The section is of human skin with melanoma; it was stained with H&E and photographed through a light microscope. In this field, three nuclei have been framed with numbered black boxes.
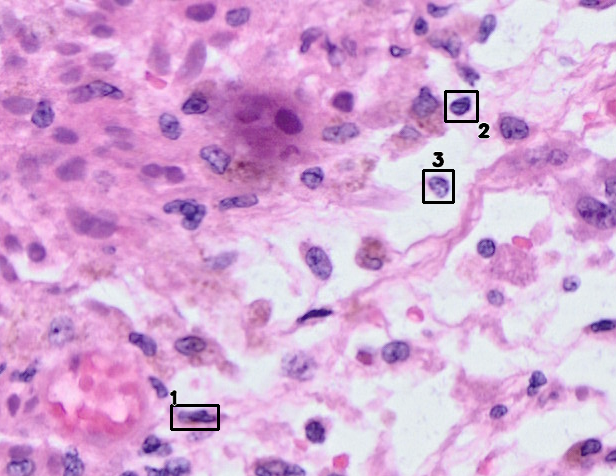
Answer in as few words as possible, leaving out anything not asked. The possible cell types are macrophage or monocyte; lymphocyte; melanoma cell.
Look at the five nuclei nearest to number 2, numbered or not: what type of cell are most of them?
macrophage or monocyte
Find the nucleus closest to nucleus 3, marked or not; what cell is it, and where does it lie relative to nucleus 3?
a macrophage or monocyte, above and to the left of nucleus 3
